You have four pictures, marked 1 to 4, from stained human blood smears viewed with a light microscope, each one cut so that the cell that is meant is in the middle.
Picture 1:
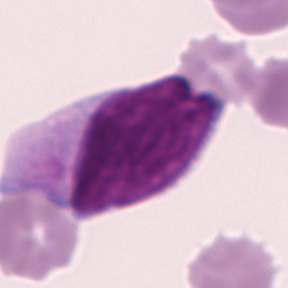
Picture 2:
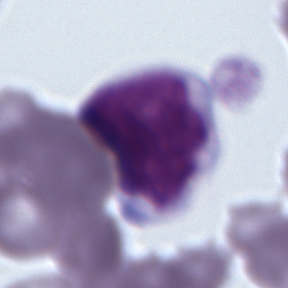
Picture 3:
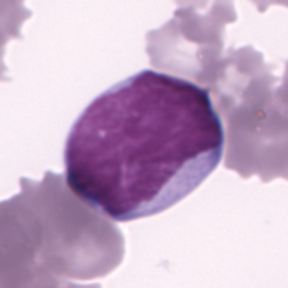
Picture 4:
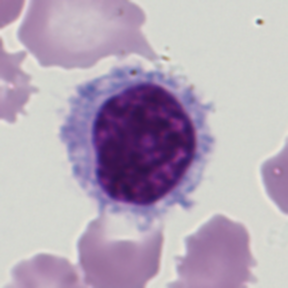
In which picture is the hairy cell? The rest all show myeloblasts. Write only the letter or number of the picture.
4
